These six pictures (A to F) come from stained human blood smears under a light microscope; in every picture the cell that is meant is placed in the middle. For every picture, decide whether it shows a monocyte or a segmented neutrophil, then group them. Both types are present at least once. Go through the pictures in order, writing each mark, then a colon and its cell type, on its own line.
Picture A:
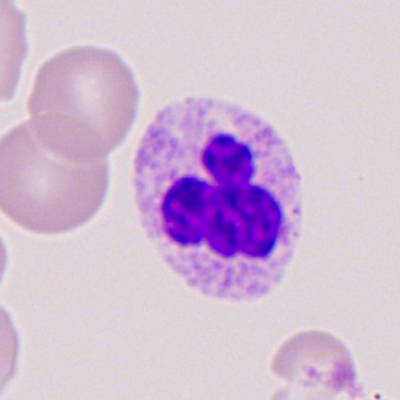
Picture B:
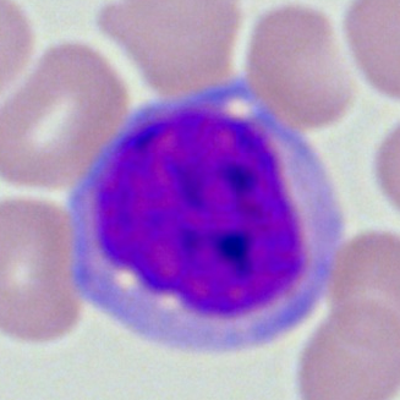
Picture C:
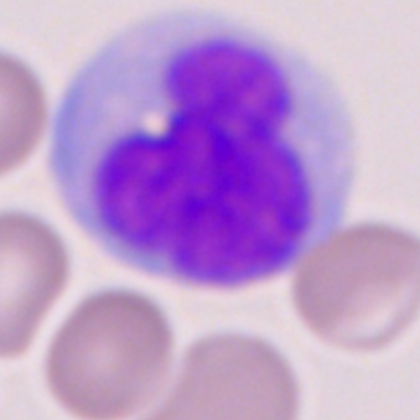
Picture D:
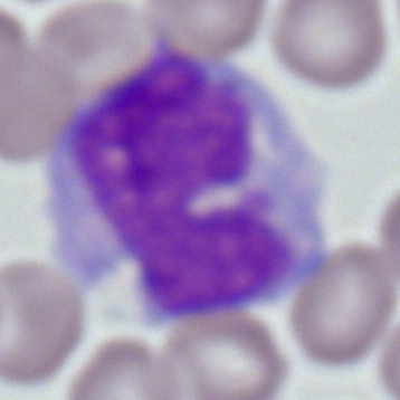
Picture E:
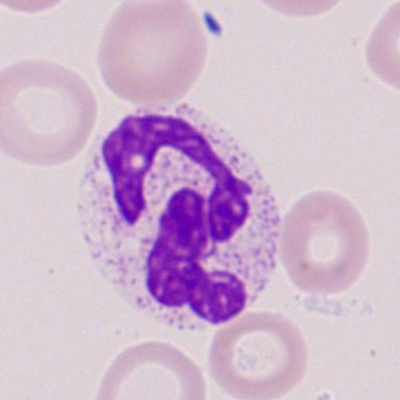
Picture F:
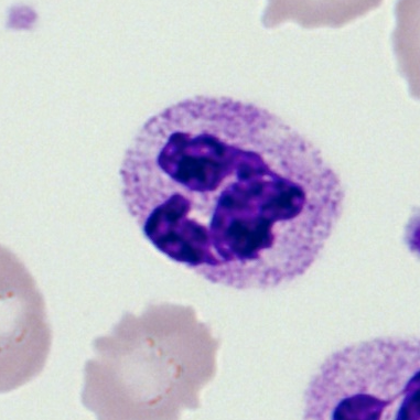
A: segmented neutrophil
B: monocyte
C: monocyte
D: monocyte
E: segmented neutrophil
F: segmented neutrophil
